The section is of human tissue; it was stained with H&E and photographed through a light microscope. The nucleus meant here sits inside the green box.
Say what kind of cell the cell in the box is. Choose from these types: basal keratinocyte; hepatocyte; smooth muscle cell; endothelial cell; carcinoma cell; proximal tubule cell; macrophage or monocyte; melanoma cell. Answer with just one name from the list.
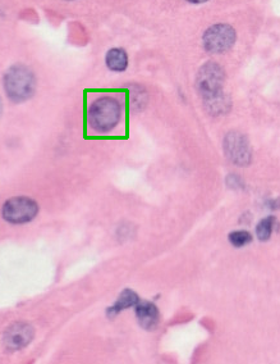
proximal tubule cell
